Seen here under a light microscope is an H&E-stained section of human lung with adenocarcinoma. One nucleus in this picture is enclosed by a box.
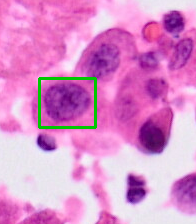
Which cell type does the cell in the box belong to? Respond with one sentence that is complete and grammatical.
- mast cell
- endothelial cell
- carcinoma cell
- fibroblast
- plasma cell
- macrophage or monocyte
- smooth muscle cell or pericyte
As a matter of cell type, the cell in the box is a carcinoma cell.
